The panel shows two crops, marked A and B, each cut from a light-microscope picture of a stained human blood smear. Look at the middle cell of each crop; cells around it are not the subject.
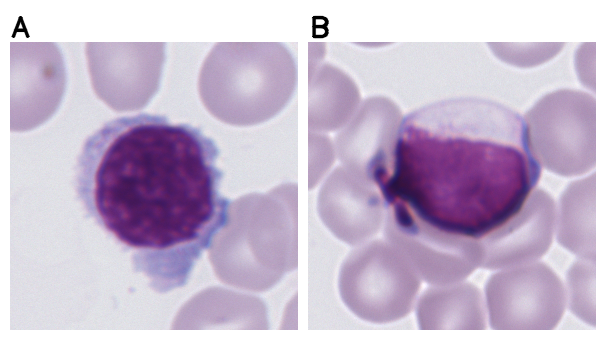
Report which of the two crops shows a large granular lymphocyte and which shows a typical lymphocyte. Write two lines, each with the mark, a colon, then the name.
A: typical lymphocyte
B: large granular lymphocyte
